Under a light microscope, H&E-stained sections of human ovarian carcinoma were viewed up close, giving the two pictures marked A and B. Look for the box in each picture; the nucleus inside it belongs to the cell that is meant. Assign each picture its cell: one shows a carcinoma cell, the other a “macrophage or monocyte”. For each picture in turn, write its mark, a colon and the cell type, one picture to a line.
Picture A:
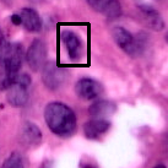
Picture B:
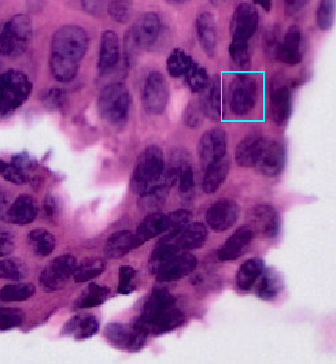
A: macrophage or monocyte
B: carcinoma cell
